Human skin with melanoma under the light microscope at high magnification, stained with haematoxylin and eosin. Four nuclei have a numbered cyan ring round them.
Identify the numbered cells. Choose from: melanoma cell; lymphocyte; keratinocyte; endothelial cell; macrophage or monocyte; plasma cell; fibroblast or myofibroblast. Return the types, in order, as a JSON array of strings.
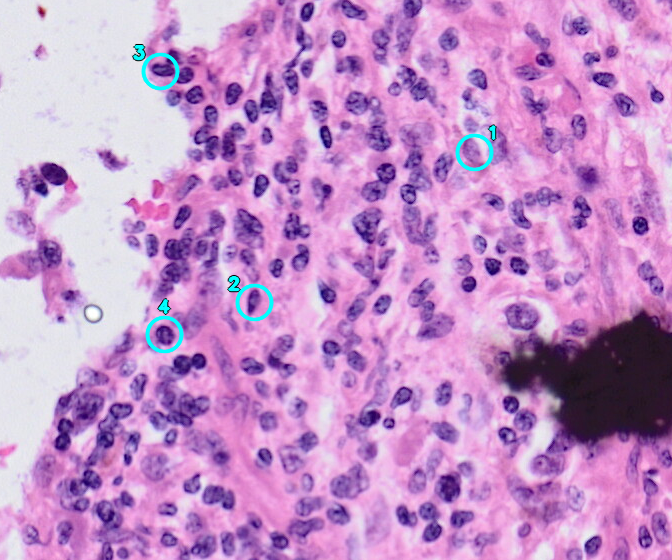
["macrophage or monocyte", "lymphocyte", "lymphocyte", "lymphocyte"]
